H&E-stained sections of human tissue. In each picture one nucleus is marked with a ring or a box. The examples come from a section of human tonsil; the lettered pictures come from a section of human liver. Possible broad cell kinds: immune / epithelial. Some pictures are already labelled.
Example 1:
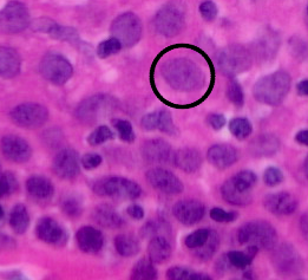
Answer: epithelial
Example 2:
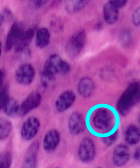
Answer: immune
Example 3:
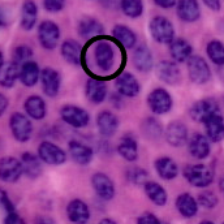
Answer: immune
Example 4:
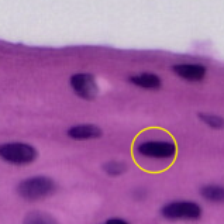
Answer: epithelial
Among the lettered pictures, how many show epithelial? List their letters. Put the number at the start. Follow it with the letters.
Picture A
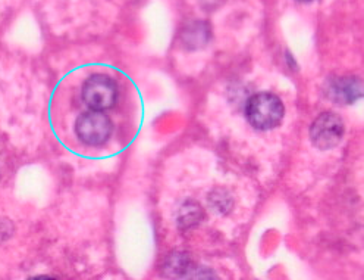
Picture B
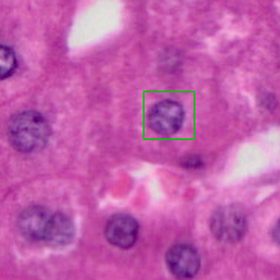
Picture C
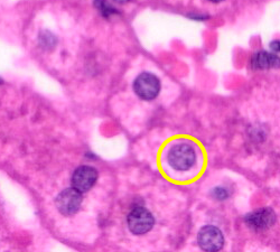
3, namely A, B, C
